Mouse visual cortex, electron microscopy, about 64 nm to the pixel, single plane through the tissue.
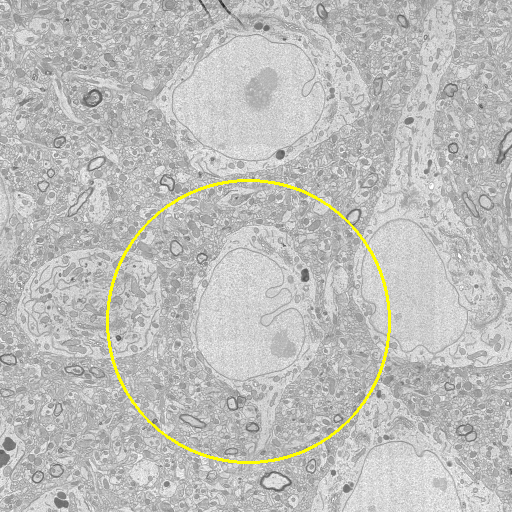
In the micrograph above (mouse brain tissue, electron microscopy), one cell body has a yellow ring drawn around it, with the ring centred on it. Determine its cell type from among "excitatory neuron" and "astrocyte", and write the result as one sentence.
The cell whose body is ringed is an excitatory neuron.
